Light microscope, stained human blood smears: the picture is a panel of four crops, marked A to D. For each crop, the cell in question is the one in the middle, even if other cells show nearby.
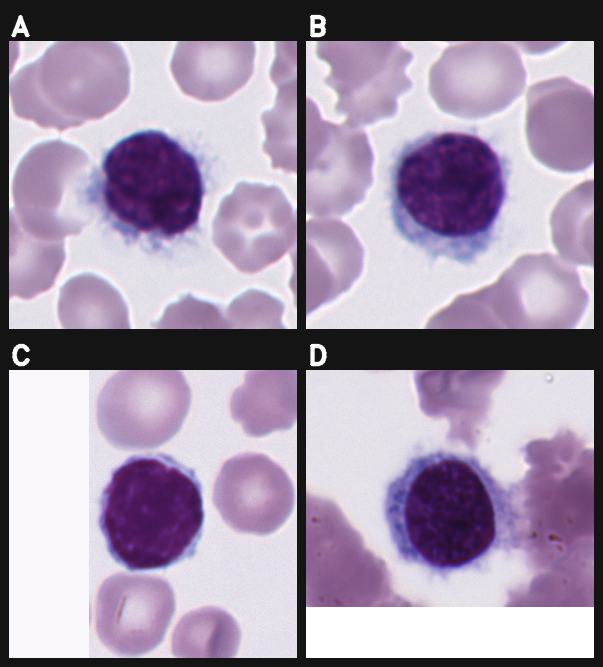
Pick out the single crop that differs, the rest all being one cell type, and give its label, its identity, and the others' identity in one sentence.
In this set, all crops show hairy cells apart from crop C, which is a typical lymphocyte.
